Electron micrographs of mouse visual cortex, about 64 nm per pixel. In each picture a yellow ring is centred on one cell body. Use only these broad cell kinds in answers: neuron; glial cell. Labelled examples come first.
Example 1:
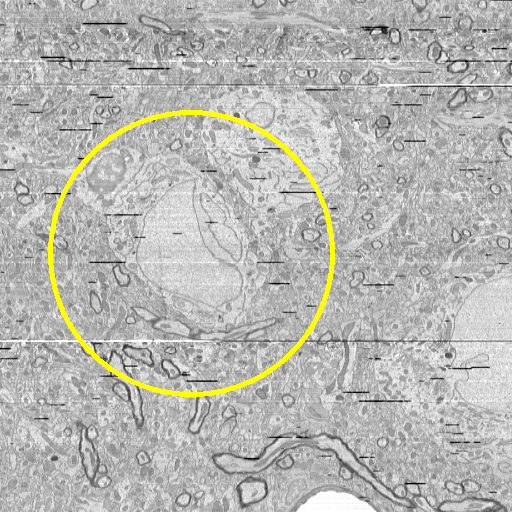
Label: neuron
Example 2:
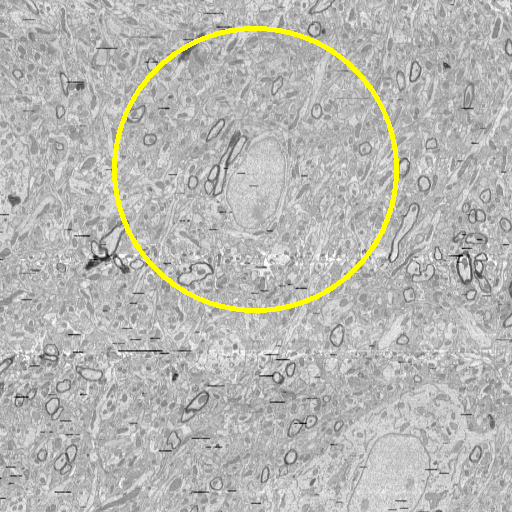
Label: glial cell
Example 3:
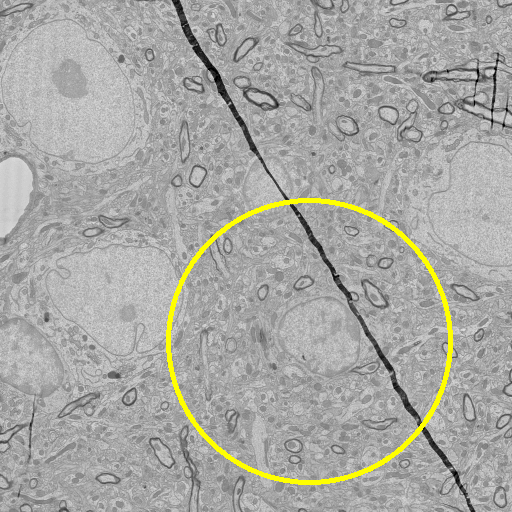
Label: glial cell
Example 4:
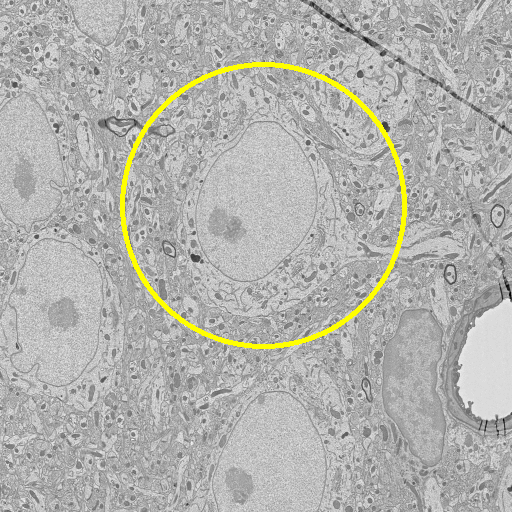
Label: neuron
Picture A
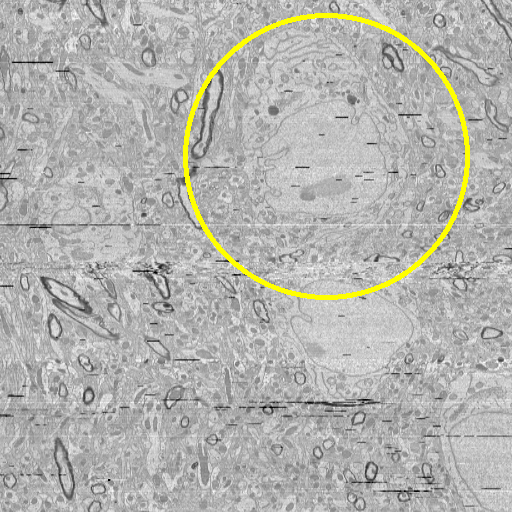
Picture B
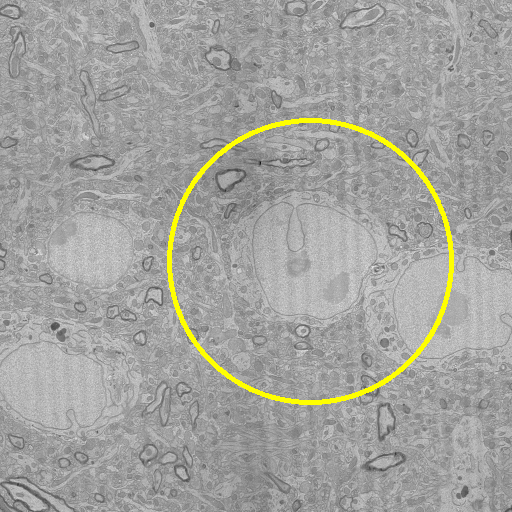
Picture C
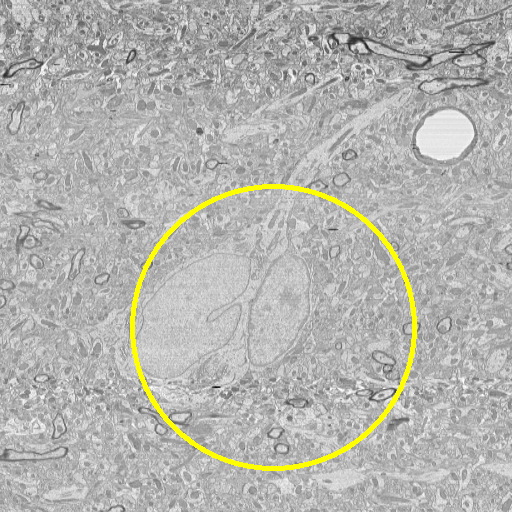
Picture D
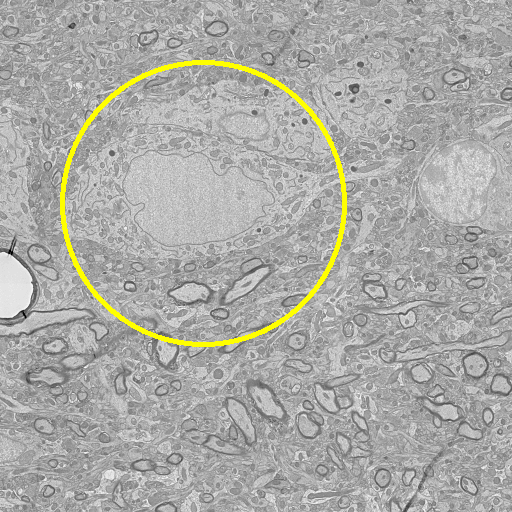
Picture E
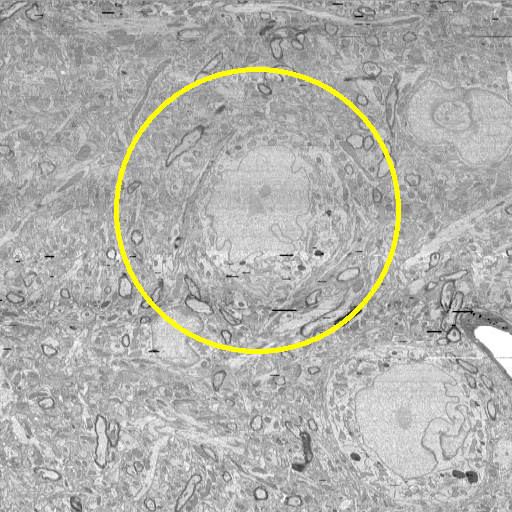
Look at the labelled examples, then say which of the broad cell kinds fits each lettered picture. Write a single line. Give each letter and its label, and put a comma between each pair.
A neuron, B neuron, C glial cell, D neuron, E neuron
